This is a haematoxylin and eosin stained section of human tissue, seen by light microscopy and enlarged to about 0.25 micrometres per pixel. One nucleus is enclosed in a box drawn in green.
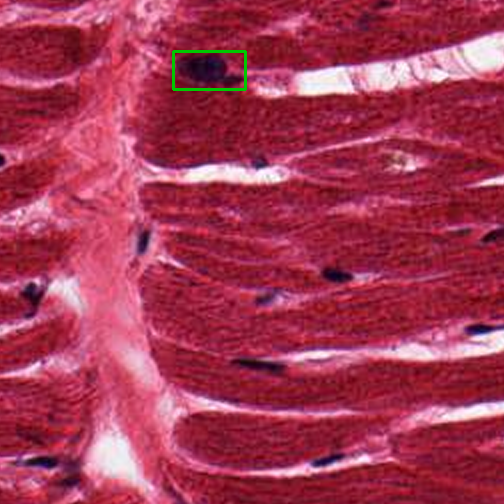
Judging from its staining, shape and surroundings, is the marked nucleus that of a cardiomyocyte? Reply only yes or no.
yes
